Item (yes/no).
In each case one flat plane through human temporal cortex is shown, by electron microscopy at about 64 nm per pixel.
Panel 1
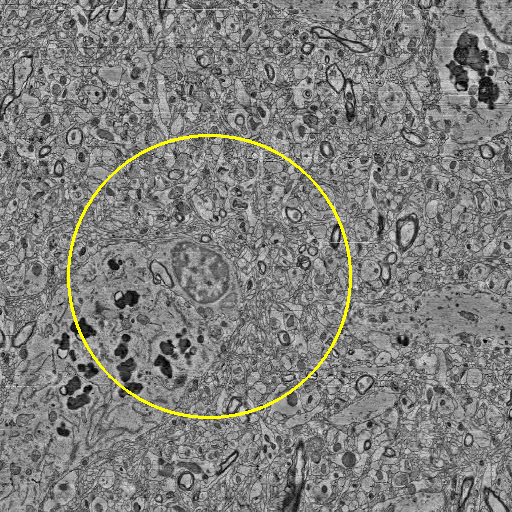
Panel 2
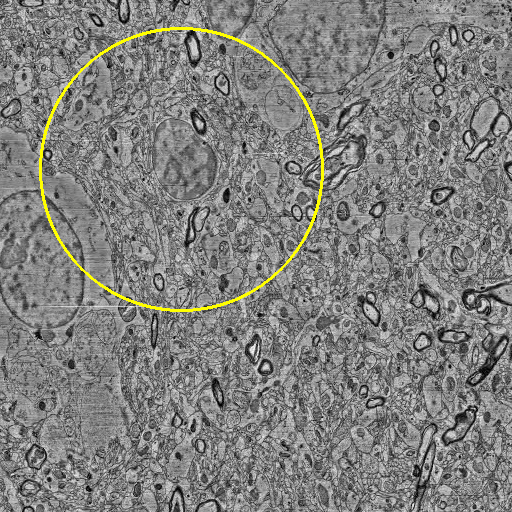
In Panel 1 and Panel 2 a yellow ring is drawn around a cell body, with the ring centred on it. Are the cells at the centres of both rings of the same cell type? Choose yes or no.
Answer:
no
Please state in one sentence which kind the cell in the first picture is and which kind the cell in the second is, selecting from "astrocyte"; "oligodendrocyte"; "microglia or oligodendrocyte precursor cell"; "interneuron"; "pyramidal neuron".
The first ringed cell is an oligodendrocyte, the second ringed cell a microglial cell or oligodendrocyte precursor cell.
